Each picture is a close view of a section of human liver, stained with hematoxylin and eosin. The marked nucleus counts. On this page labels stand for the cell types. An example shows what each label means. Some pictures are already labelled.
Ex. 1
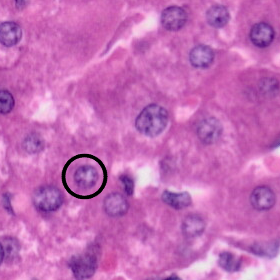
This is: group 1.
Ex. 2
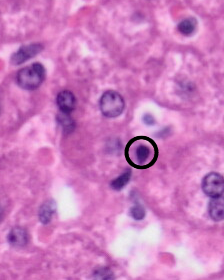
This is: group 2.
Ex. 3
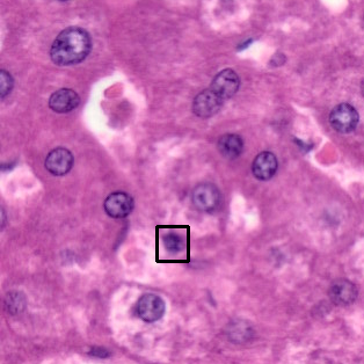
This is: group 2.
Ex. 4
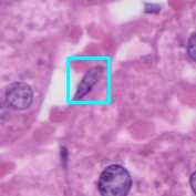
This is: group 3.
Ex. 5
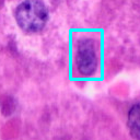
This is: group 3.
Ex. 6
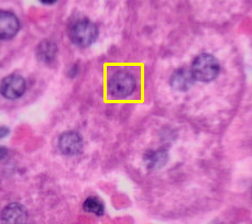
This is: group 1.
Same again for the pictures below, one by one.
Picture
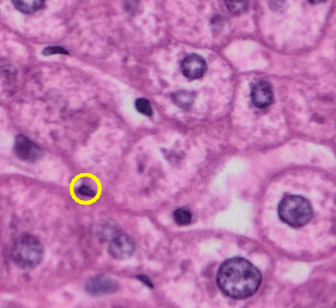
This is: group 2.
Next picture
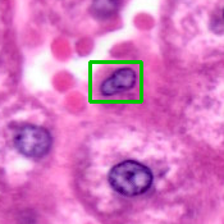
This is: group 3.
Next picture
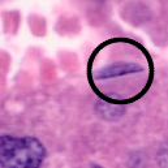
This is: group 2.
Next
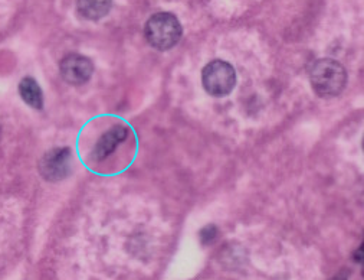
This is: group 2.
